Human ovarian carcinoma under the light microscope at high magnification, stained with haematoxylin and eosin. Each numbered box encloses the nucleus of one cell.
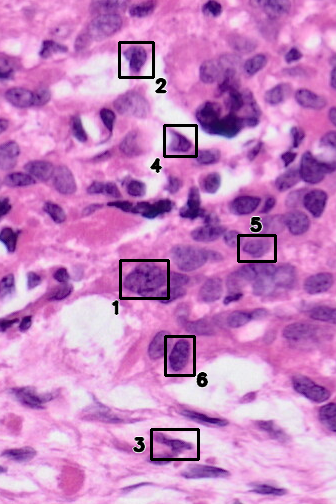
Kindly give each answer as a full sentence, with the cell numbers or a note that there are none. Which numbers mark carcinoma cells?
In terms of cell type, cells 1, 4, 5 and 6 are carcinoma cells.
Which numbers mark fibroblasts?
Only at number 3 is there a fibroblast among the marked cells.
